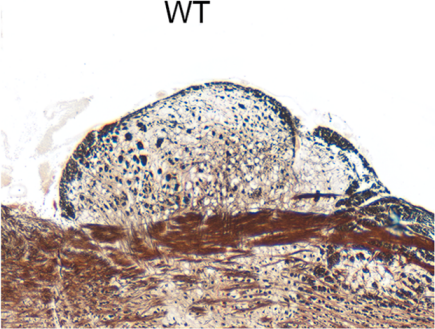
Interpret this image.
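A rounded, pale mass bulges from the ventral surface of the brain stem. Within it, many small dark dots and short strands are scattered through lighter tissue, consistent with fibre bundles cut across among grey matter. Beneath the bulge, dense dark brown fibre tracts run roughly horizontally. This ventral grey-matter mass corresponds to the pontine nuclei.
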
